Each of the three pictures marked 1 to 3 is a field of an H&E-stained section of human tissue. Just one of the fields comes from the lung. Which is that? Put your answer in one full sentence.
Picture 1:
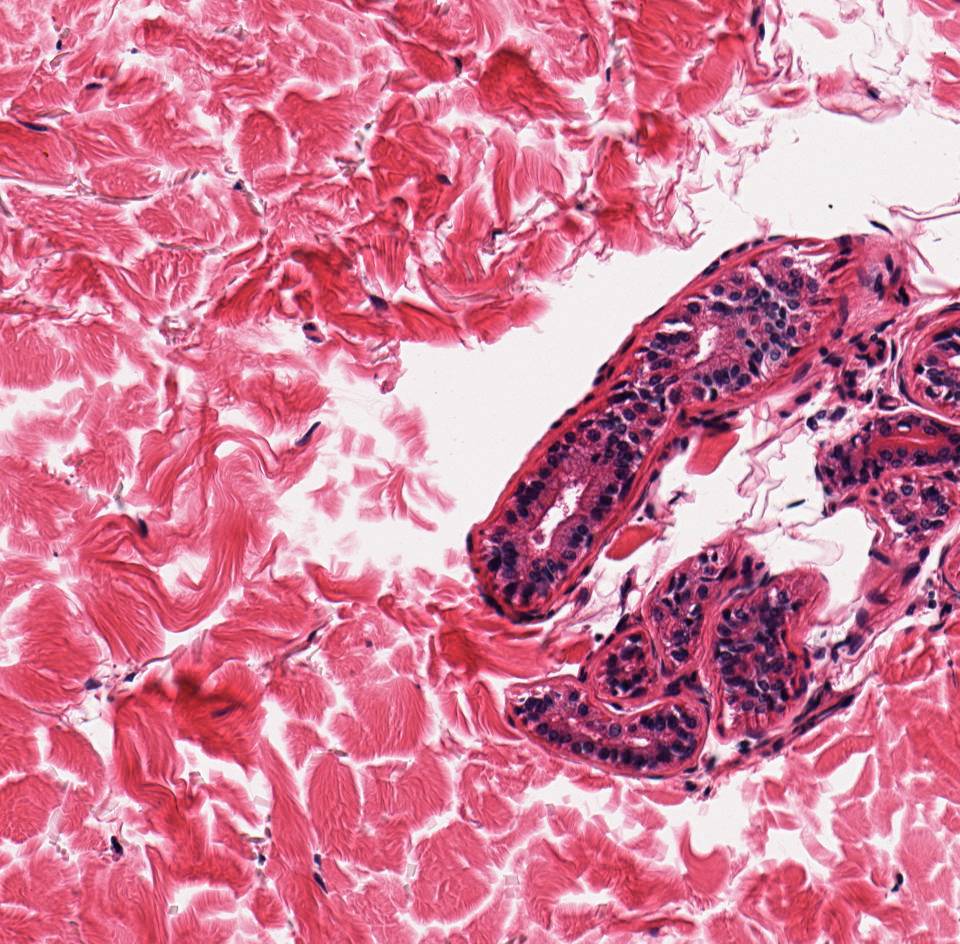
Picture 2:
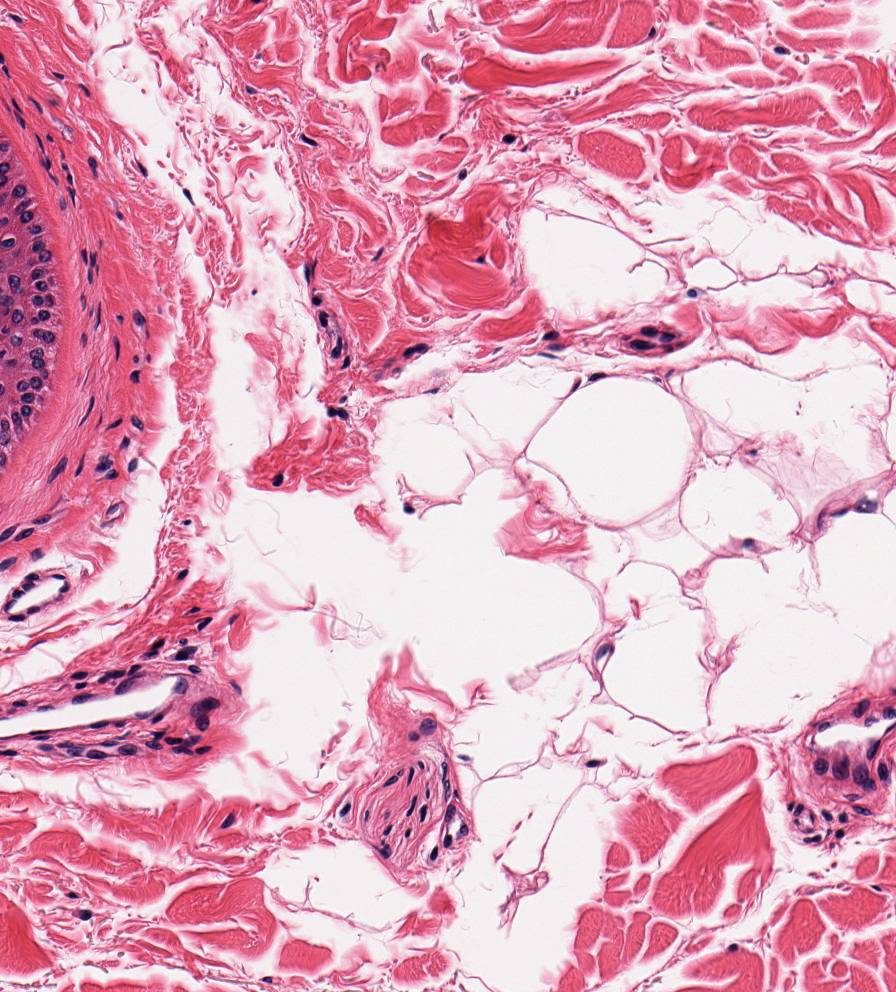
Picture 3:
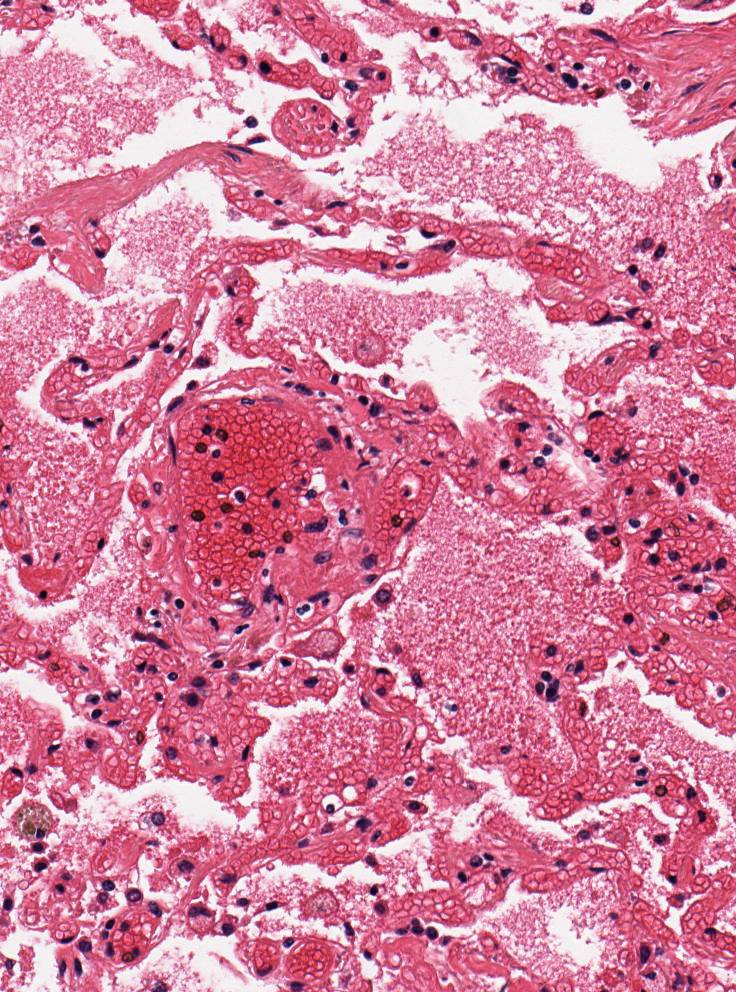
The one that comes from the lung is picture 3.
